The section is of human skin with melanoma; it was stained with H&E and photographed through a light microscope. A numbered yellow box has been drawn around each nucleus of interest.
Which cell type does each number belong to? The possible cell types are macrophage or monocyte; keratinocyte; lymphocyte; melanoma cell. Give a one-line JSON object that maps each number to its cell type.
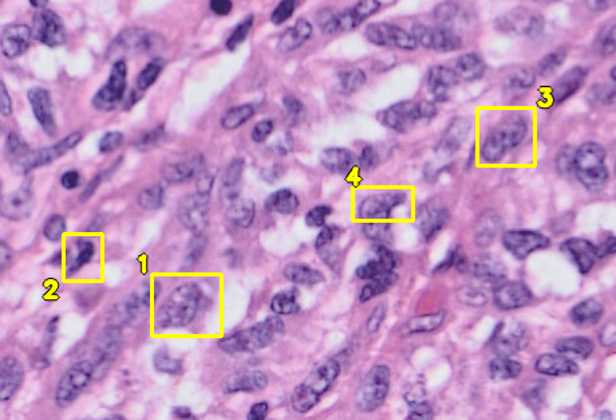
{"1": "melanoma cell", "2": "lymphocyte", "3": "melanoma cell", "4": "melanoma cell"}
